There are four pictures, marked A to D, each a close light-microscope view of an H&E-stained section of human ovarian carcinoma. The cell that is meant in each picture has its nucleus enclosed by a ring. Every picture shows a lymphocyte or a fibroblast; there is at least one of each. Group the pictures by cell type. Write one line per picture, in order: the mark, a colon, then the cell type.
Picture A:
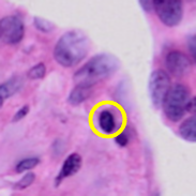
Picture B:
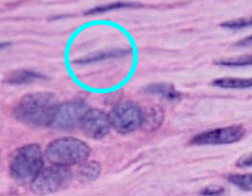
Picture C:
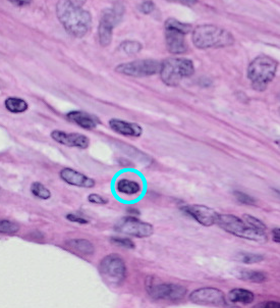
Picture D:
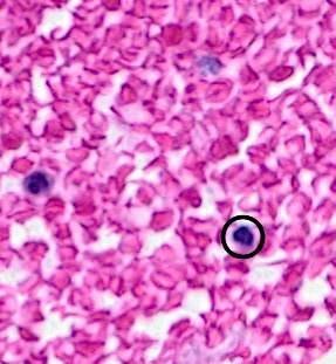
A: lymphocyte
B: fibroblast
C: lymphocyte
D: lymphocyte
